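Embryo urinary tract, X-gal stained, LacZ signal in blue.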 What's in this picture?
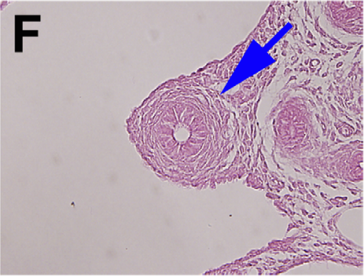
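A round tube cut across shows a small central lumen lined by a multilayered epithelium with pink cytoplasm. Flattened spindle-shaped cells wrap circumferentially around it, and no blue stain is seen in any layer.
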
